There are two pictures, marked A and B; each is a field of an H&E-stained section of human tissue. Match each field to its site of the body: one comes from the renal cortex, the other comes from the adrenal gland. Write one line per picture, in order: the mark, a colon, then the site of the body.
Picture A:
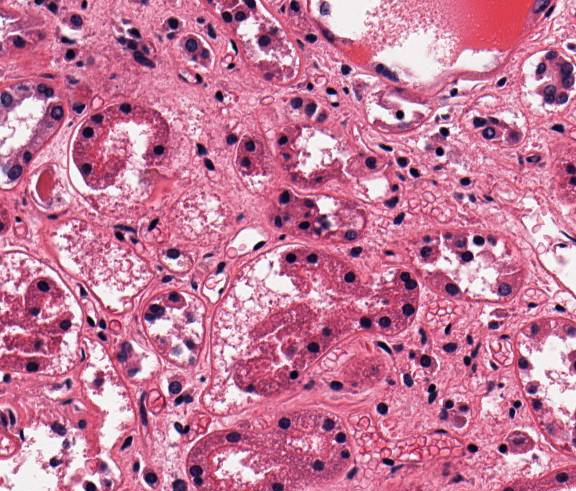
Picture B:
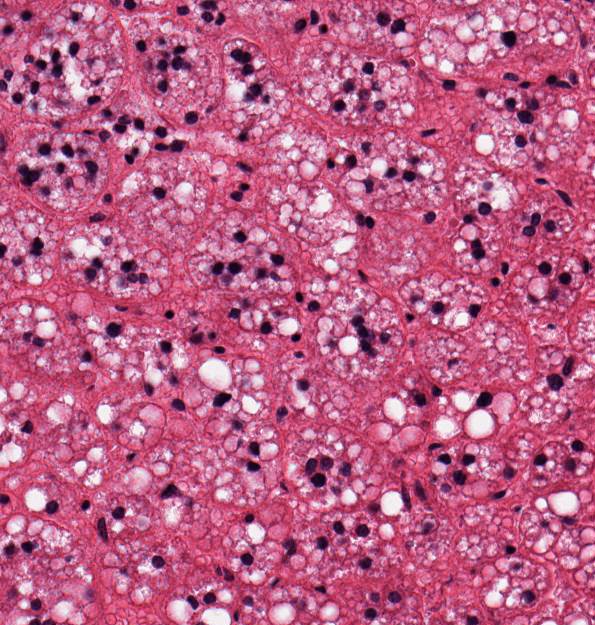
A: renal cortex
B: adrenal gland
